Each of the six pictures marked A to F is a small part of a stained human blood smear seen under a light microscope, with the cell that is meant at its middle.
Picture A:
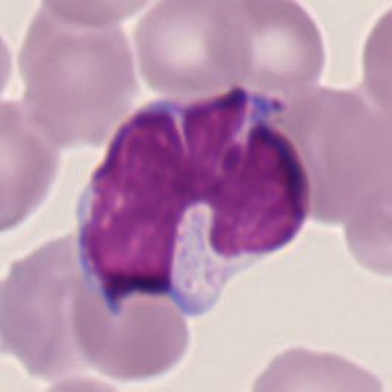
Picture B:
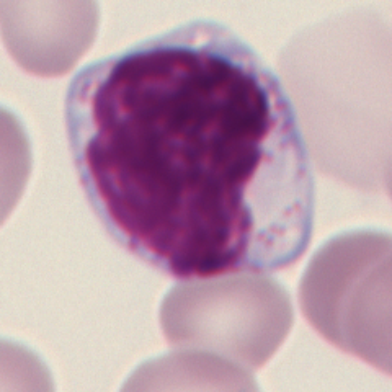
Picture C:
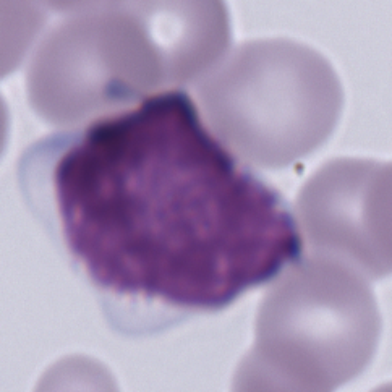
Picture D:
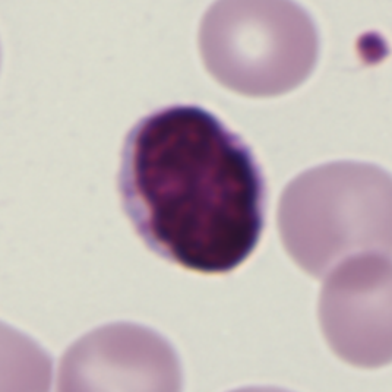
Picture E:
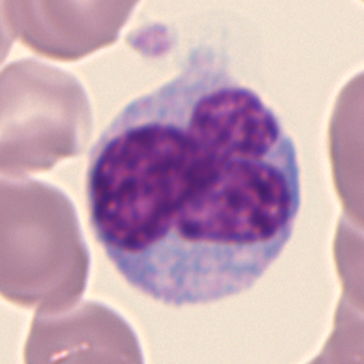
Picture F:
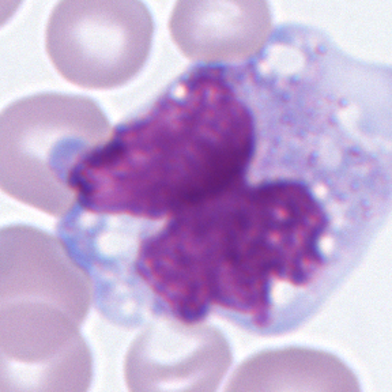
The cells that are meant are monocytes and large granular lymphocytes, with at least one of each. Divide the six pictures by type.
A: large granular lymphocyte
B: large granular lymphocyte
C: large granular lymphocyte
D: large granular lymphocyte
E: monocyte
F: monocyte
